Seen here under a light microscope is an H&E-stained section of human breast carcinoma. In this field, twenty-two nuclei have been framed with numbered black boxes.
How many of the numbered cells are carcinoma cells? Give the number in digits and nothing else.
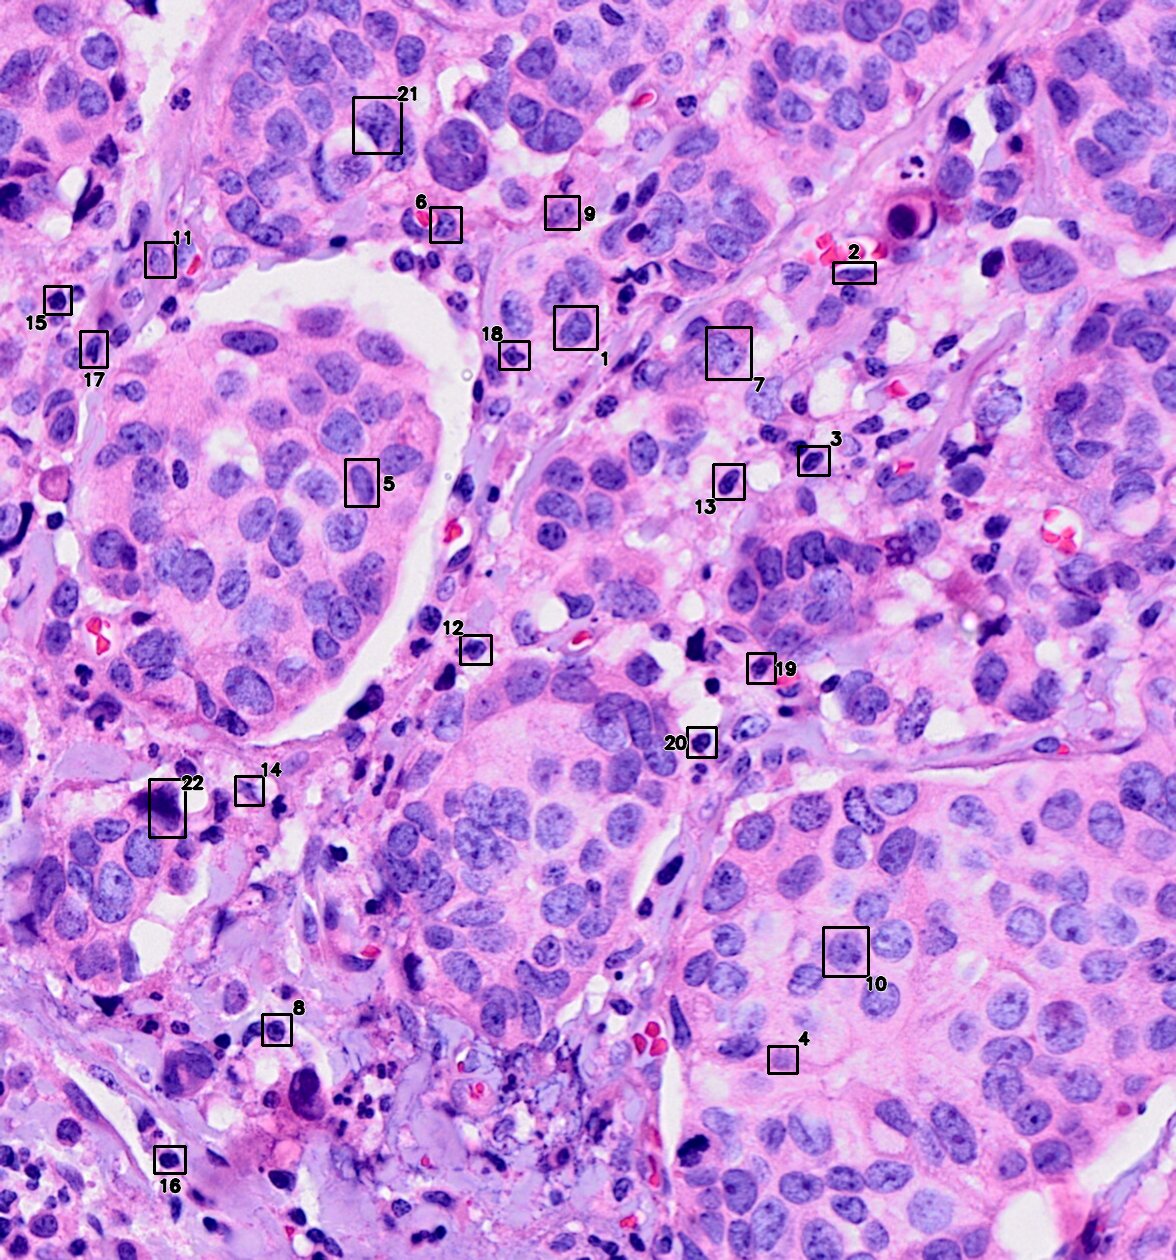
7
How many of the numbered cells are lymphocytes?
10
